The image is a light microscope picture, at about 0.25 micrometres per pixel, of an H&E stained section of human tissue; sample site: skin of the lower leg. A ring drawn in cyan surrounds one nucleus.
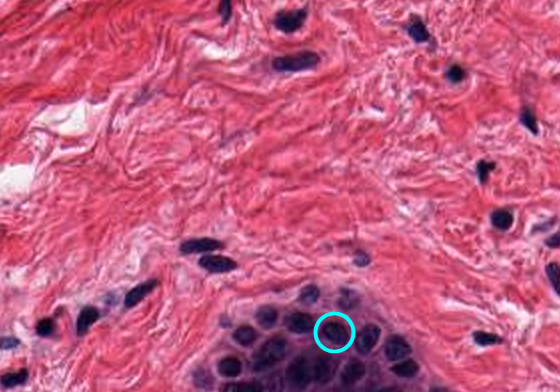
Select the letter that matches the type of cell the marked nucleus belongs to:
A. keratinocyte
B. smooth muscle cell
A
